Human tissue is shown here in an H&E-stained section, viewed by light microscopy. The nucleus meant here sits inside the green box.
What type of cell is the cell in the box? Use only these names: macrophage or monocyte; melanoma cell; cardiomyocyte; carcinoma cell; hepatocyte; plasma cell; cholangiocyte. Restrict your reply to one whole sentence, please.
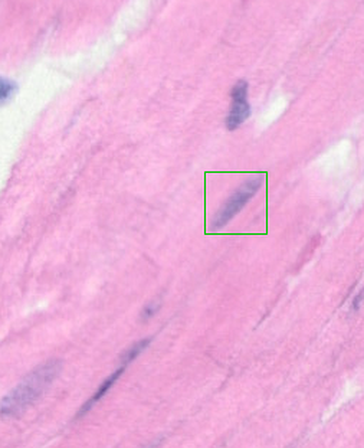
By cell type, the cell in the box is a cardiomyocyte.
